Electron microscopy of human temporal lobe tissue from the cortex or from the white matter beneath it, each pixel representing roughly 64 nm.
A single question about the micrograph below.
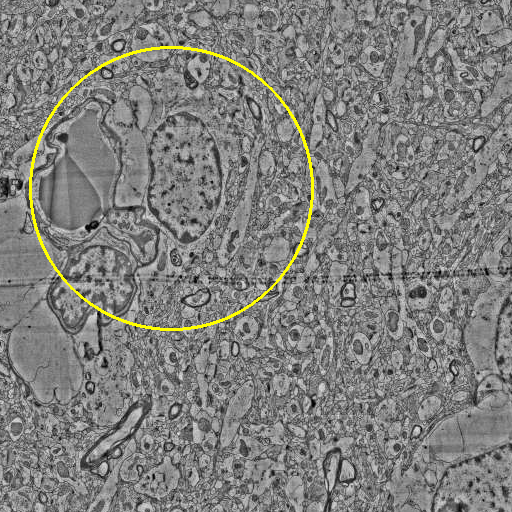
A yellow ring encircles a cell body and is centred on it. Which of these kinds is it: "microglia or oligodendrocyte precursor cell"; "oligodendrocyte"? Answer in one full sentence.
The cell body at the centre of the yellow ring belongs to a microglial cell or oligodendrocyte precursor cell.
